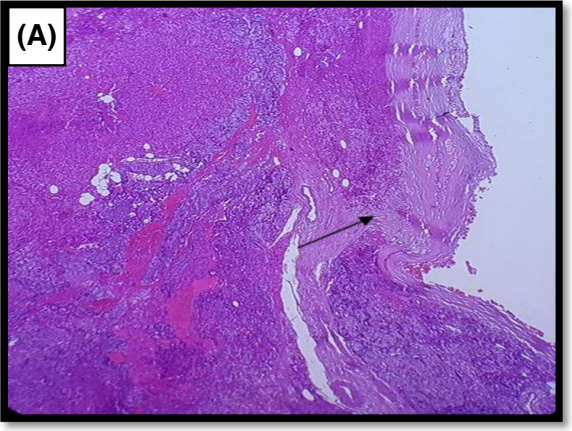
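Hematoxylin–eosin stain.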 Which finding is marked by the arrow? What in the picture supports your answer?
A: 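A broad pale pink fibrous band runs along the right edge of a densely cellular purple mass. The arrow points where cellular tissue pushes into this fibrous band without passing through it.
Incomplete capsular intrusion.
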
